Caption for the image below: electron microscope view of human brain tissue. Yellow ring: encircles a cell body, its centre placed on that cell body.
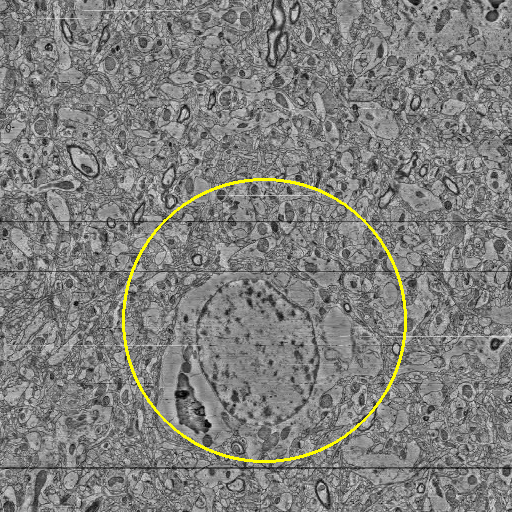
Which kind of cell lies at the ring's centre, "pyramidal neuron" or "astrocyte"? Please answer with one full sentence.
The picture shows an astrocyte at the centre of the yellow ring.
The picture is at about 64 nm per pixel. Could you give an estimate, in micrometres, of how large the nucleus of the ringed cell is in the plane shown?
In this plane the nucleus spans approximately 10 by 8 micrometers.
